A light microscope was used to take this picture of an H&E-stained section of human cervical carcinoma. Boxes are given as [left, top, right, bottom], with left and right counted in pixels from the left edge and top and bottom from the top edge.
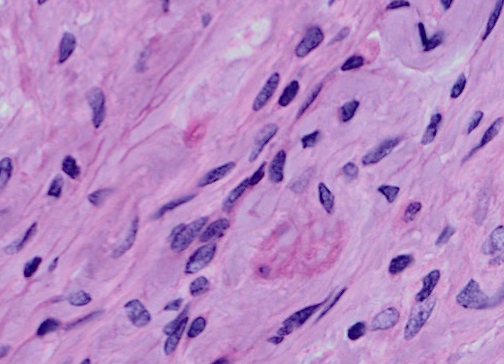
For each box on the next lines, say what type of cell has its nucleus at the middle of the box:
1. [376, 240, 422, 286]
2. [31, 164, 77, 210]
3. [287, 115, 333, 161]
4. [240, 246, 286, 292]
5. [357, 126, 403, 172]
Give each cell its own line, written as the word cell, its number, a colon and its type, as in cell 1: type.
cell 1: lymphocyte
cell 2: fibroblast
cell 3: fibroblast
cell 4: smooth muscle cell
cell 5: fibroblast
